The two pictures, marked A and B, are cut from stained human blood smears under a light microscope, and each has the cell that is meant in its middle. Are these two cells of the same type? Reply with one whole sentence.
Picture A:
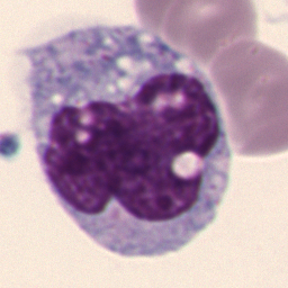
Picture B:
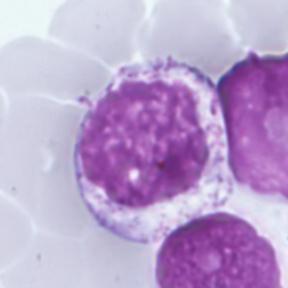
No. Picture A shows a monocyte, but picture B shows a myelocyte.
